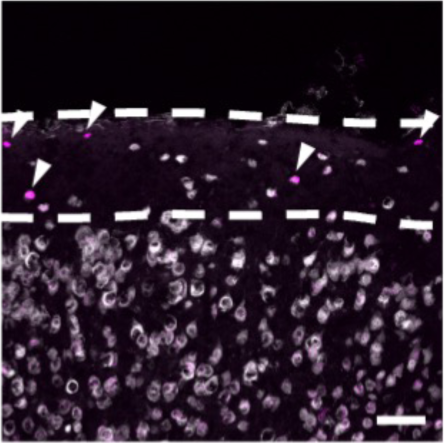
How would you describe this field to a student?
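This shows the superficial cortex, with the thin outermost layer marked off by dashed lines above a dense layer of neuronal cell bodies. The few strongly magenta nuclei marked by the arrowheads and arrows sit within that outermost layer, several of them right at the surface. The packed neurons below show only a faint pinkish tint.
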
